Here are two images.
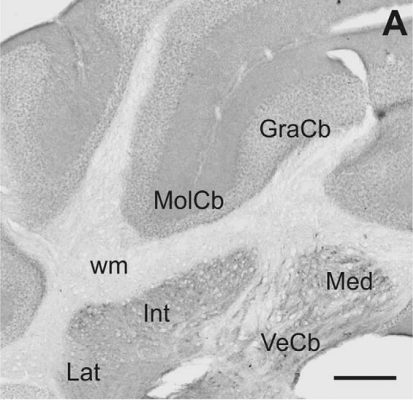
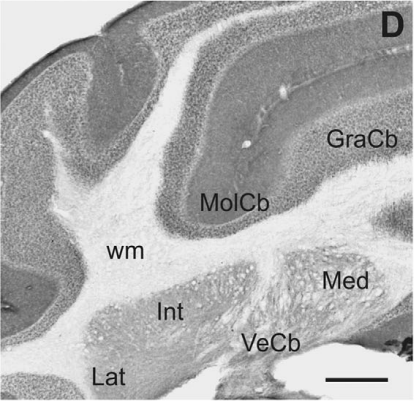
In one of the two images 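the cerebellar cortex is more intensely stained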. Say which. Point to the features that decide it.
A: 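The second image. Second image: the granular layer of the folia is dark grey and the molecular layer clearly stained. First image: the cortical layers are paler grey with less contrast against the white matter.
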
